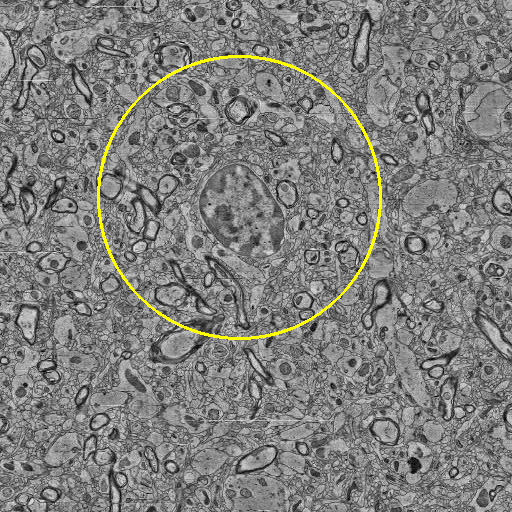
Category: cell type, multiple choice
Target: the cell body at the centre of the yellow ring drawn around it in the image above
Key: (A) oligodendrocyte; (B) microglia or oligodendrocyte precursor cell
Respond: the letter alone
B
